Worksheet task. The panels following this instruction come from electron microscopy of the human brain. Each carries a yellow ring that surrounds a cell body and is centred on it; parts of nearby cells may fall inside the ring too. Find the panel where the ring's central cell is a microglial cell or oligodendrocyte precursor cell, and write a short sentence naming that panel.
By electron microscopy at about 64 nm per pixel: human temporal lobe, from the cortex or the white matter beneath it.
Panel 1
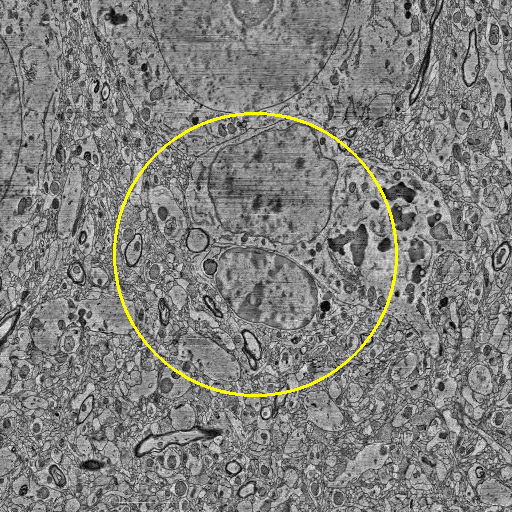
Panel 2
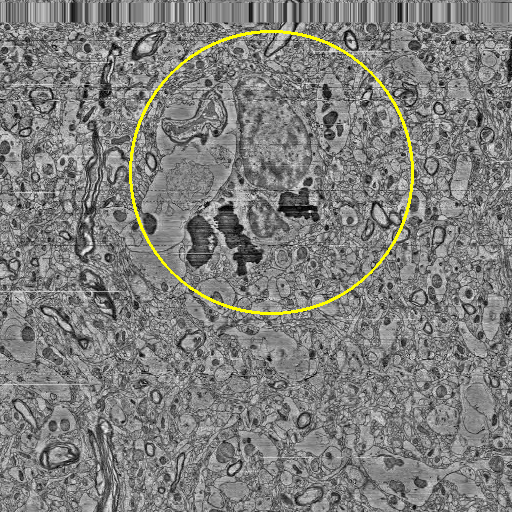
The cell sought is in Panel 1.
